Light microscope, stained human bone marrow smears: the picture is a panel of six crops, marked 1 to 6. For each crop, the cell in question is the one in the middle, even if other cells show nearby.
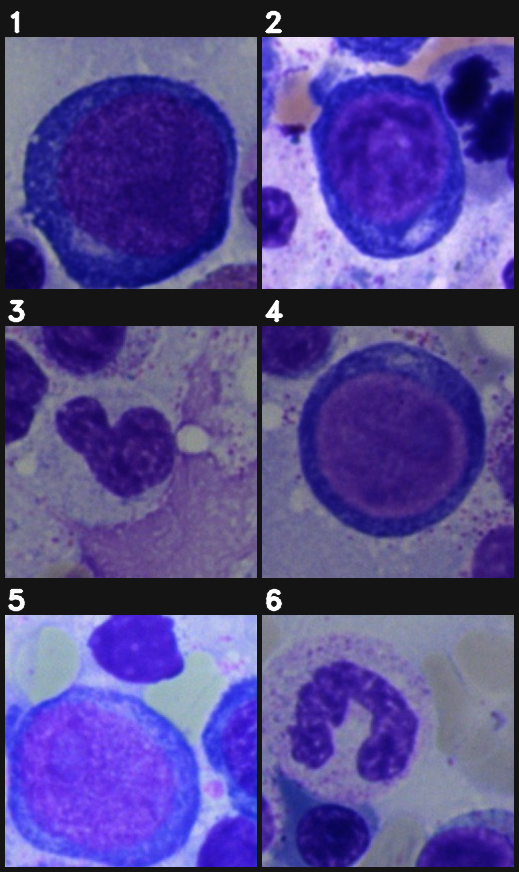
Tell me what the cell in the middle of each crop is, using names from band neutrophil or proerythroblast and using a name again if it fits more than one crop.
1: proerythroblast
2: proerythroblast
3: band neutrophil
4: proerythroblast
5: proerythroblast
6: band neutrophil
